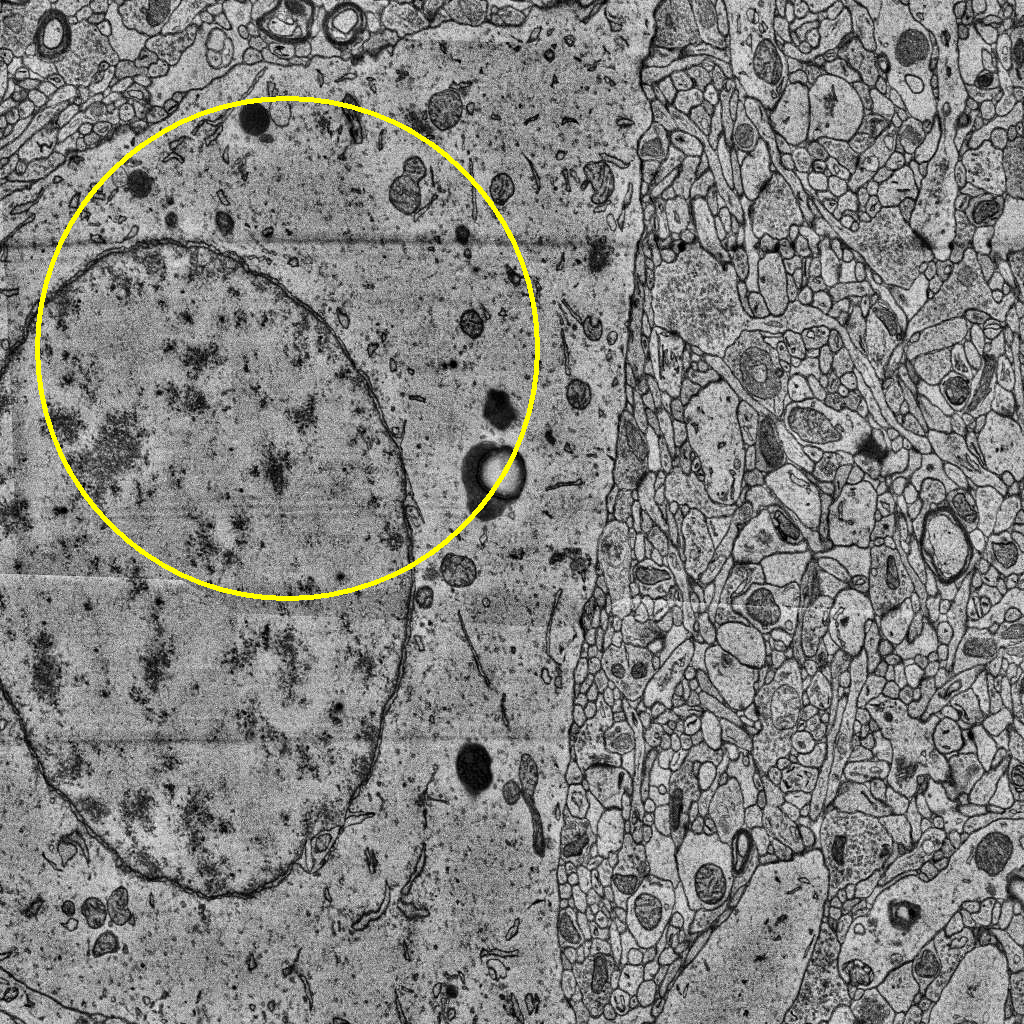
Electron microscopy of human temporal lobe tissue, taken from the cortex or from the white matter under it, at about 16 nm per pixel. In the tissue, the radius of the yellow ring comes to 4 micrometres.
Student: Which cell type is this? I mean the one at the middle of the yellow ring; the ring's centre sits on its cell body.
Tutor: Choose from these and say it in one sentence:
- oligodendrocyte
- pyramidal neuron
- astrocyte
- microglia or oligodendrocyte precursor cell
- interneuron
The cell at the ring's centre is a pyramidal neuron.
